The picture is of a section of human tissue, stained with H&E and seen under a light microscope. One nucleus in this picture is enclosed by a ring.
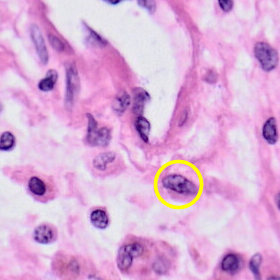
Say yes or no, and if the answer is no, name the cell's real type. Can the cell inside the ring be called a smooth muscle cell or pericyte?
No, it is a macrophage or monocyte.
